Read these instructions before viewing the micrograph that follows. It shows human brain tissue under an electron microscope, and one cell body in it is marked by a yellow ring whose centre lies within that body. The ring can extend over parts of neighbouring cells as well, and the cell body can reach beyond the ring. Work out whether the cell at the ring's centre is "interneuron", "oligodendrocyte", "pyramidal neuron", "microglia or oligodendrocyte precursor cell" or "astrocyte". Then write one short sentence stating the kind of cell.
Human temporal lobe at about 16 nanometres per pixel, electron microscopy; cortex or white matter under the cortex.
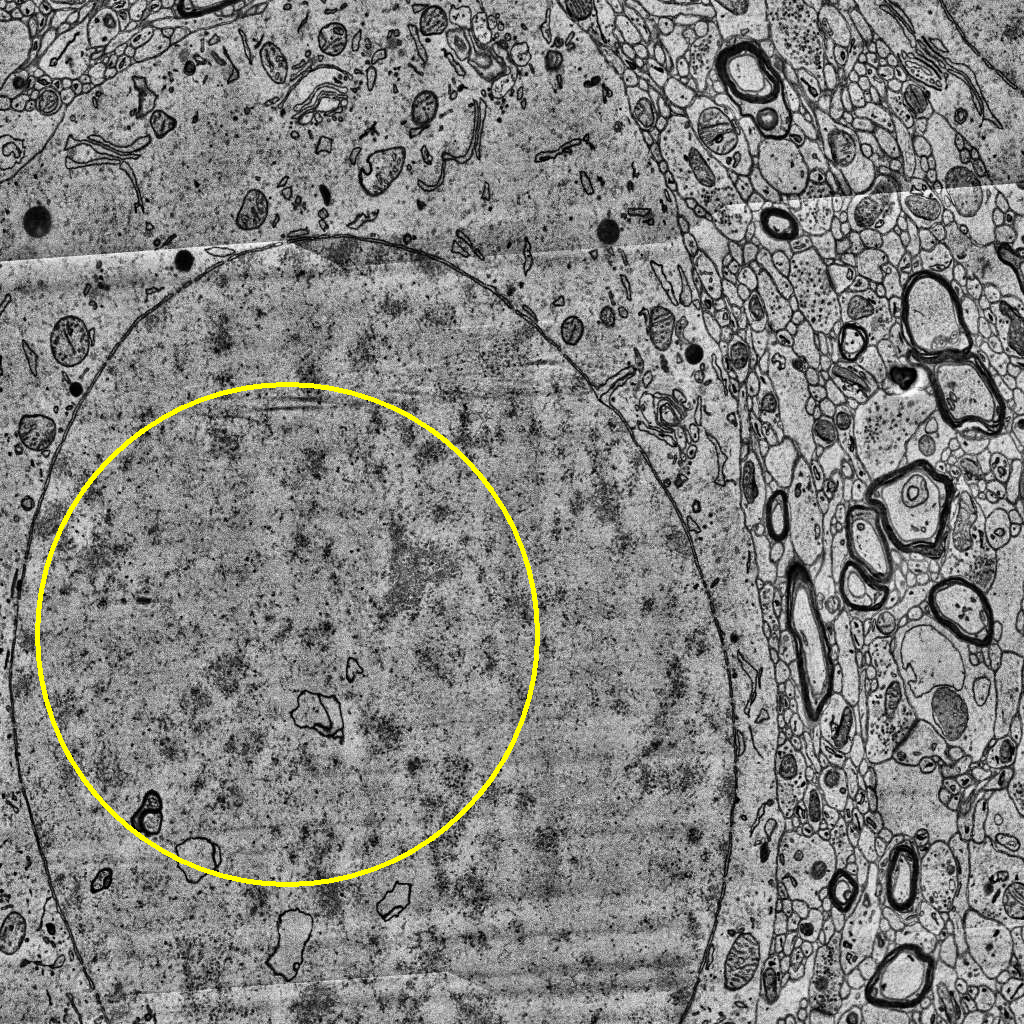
The cell at the ring's centre is a pyramidal neuron.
